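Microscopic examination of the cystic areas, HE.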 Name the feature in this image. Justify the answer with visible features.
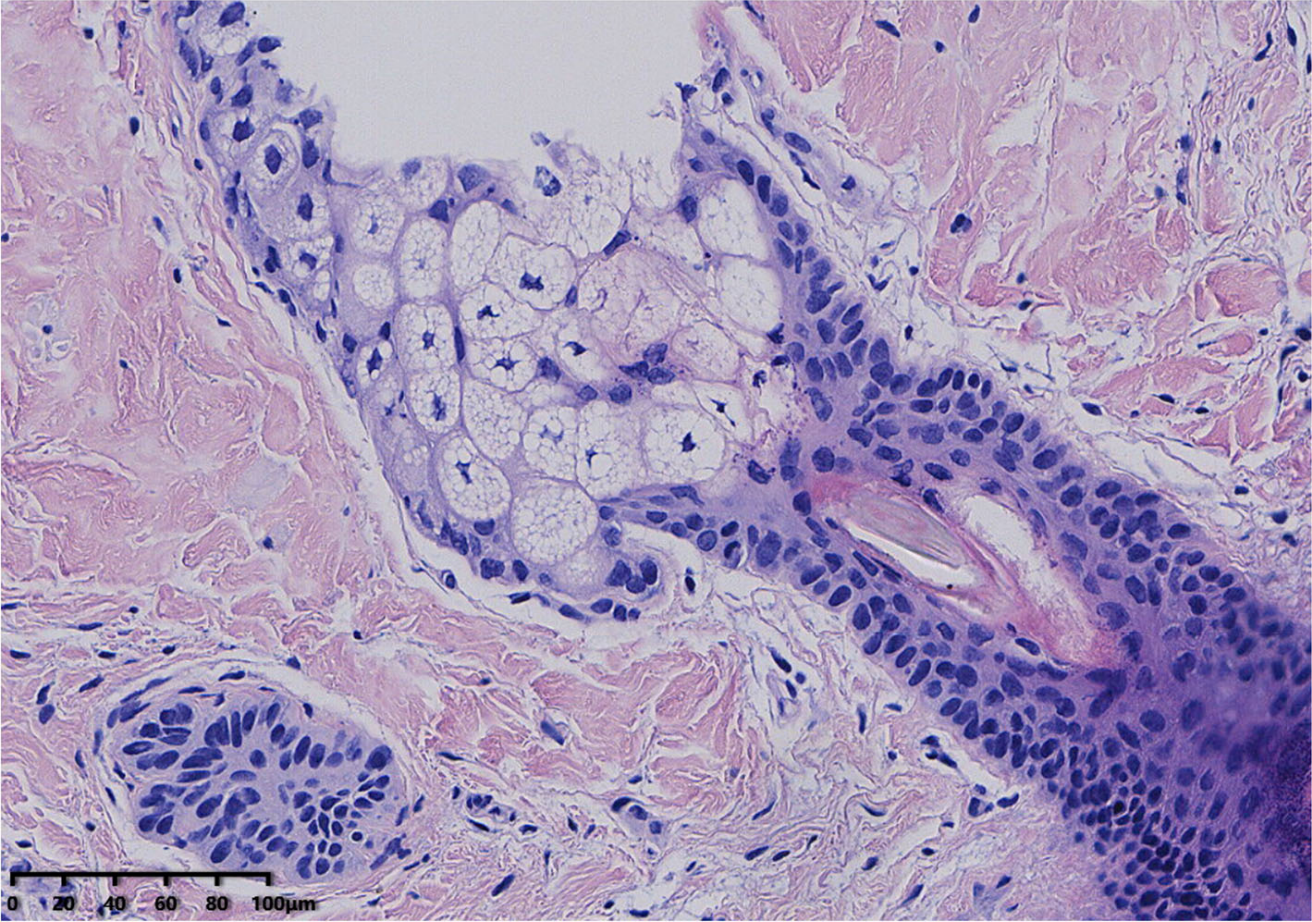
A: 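Sebaceous glands. A lobule of large rounded cells with pale, finely bubbly cytoplasm lies at the upper centre. The pale cells have small, dark, centrally placed nuclei. The lobule opens toward a clear space at the top and joins a strand of stratified epithelium.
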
